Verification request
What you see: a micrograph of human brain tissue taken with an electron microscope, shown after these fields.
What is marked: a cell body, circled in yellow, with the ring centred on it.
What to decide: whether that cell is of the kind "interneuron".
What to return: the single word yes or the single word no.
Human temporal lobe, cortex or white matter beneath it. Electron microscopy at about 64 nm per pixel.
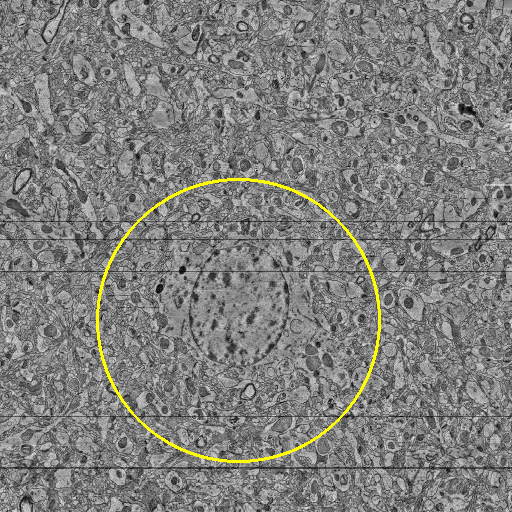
no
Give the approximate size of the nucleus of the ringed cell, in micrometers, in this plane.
The nucleus measures about 8 by 6 micrometres in this plane.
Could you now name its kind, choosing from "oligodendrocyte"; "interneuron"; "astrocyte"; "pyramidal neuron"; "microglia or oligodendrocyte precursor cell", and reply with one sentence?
This picture has an astrocyte at the centre of its ring.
